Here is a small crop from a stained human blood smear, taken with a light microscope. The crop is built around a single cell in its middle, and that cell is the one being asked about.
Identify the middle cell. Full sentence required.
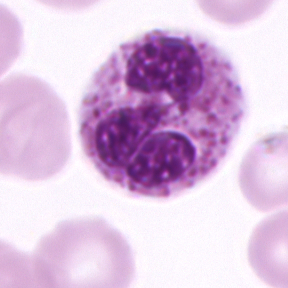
Regarding the central cell, it is an eosinophil.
